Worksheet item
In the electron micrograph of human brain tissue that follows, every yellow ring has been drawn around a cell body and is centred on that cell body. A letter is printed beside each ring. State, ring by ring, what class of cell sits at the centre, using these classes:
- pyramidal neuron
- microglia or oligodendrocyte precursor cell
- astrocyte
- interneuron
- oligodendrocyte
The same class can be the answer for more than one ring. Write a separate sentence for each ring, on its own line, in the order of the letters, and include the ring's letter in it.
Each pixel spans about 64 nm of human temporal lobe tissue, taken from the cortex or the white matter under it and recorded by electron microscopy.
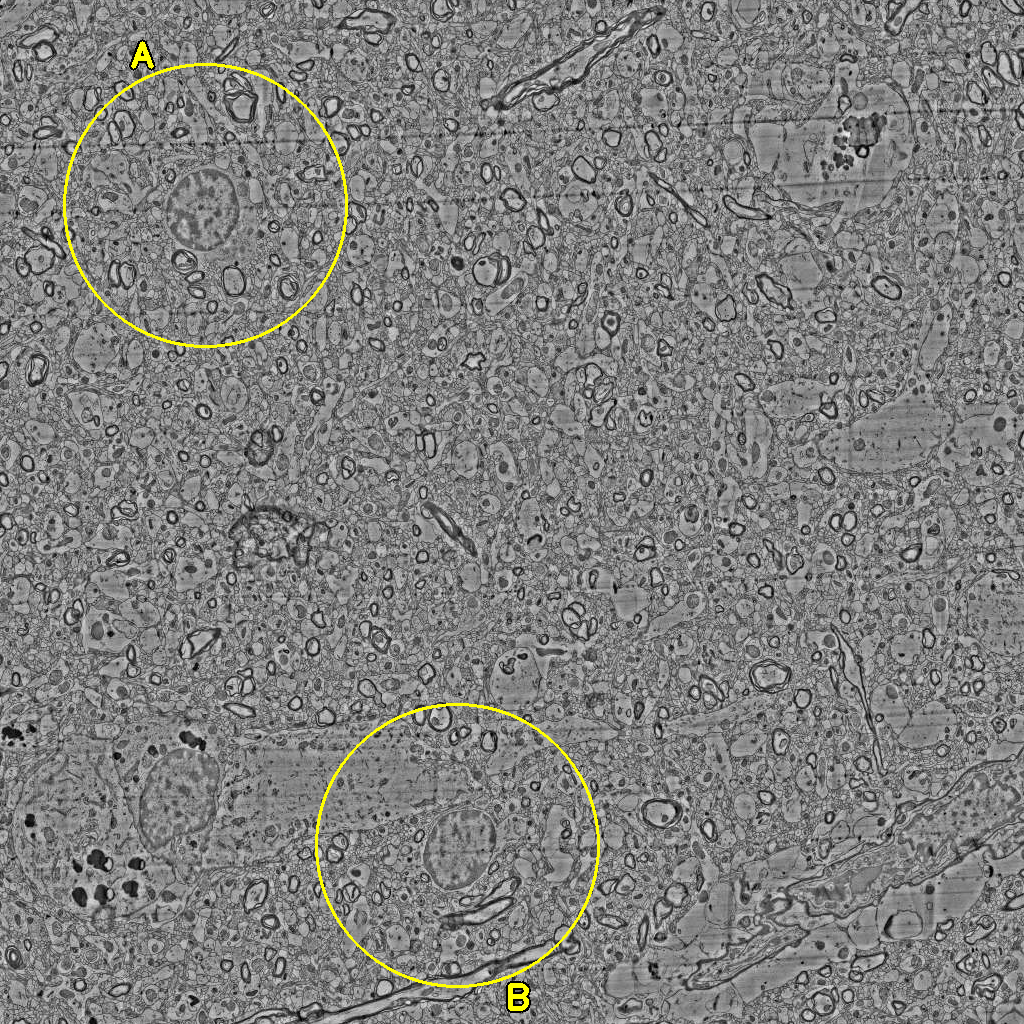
At the centre of ring A sits an oligodendrocyte.
At the centre of ring B sits a microglial cell or oligodendrocyte precursor cell.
